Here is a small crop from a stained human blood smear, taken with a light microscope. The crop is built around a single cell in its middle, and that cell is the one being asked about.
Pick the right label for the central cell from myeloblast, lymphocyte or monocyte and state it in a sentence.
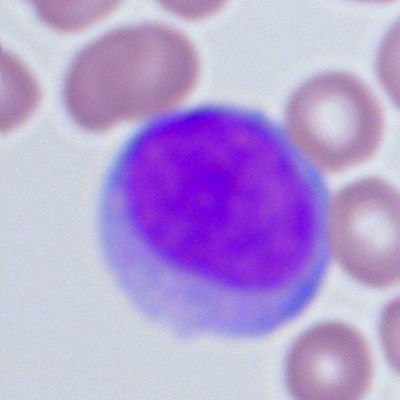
Positioned in the middle of the crop is a myeloblast.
